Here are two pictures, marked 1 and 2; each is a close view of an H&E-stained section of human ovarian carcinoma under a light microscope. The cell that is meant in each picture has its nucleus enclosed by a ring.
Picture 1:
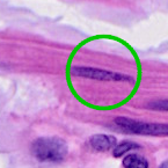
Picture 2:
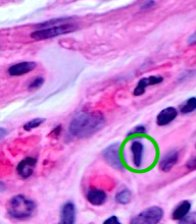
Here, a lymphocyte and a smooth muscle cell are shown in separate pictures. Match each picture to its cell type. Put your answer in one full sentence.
It is picture 1 that shows a smooth muscle cell, and picture 2 that shows a lymphocyte.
